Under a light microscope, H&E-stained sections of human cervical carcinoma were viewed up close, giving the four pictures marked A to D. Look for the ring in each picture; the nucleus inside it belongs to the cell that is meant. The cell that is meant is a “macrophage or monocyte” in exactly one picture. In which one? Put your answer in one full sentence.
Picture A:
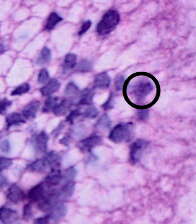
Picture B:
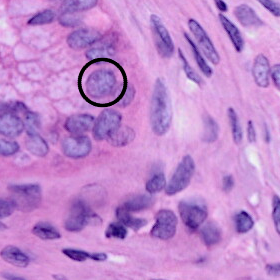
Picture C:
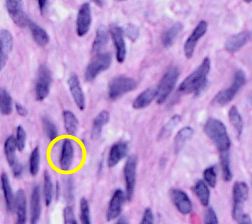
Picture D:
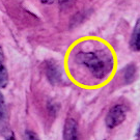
The picture with the “macrophage or monocyte” is D.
